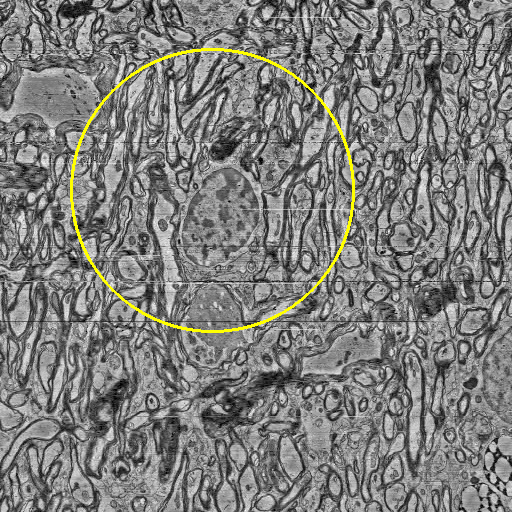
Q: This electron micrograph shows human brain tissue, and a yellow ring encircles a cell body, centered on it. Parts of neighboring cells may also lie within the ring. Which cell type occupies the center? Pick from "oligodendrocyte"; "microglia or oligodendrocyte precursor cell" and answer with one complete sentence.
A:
What sits at the ring's center in this micrograph is a microglial cell or oligodendrocyte precursor cell, among those choices.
